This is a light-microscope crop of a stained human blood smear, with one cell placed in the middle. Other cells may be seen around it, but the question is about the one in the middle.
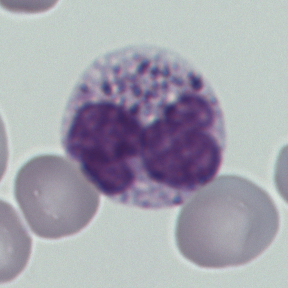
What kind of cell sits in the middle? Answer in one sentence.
Answering briefly, the cell in the middle is a basophil.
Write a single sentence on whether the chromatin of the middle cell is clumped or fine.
Thanks for asking; the chromatin is coarsely clumped.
